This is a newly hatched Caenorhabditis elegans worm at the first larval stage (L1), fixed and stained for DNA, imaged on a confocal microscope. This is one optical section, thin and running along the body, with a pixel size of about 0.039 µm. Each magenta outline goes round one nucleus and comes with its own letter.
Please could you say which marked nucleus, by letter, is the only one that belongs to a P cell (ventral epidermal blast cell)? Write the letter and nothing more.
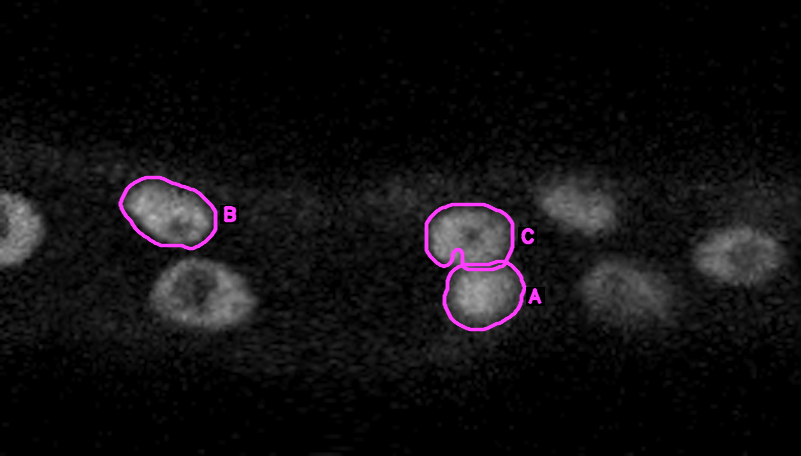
B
